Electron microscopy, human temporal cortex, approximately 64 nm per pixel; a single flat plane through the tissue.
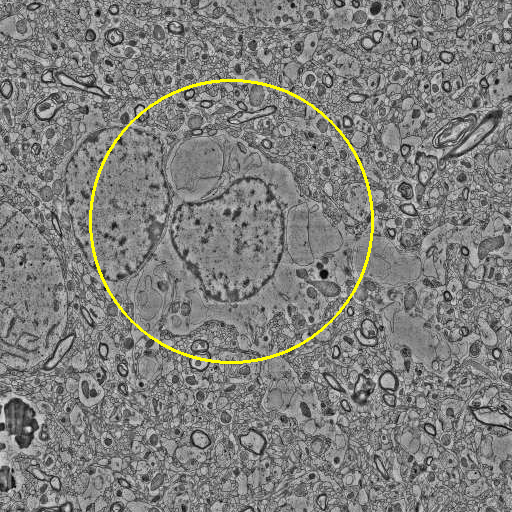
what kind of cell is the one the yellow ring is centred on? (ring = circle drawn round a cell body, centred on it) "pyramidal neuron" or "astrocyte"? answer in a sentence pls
The ring is drawn around an astrocyte.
